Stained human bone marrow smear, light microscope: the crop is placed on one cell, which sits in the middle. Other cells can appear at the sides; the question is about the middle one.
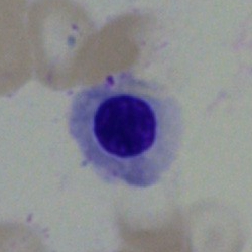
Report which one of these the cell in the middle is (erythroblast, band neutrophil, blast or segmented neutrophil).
erythroblast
